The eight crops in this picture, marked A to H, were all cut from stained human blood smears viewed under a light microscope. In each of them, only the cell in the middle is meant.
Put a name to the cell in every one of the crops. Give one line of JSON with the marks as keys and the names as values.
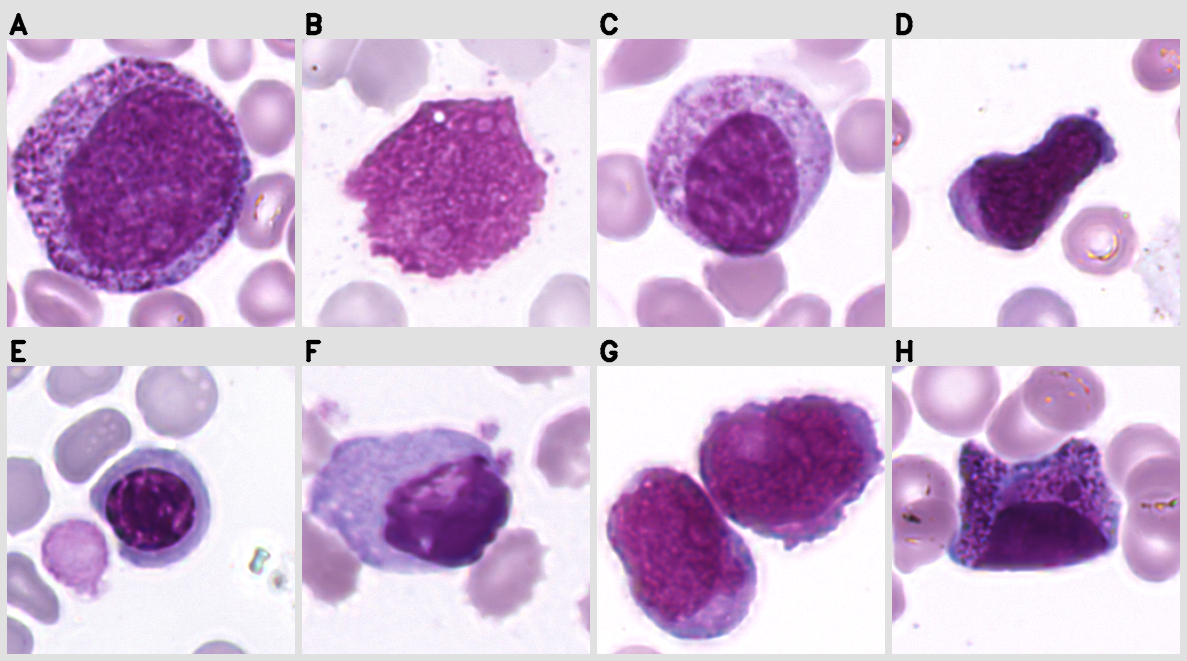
{"A": "promyelocyte", "B": "smudge cell", "C": "myelocyte", "D": "atypical promyelocyte", "E": "erythroblast", "F": "plasma cell", "G": "atypical promyelocyte", "H": "promyelocyte"}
